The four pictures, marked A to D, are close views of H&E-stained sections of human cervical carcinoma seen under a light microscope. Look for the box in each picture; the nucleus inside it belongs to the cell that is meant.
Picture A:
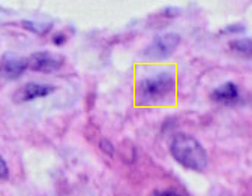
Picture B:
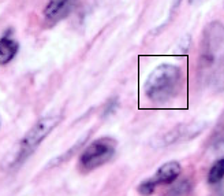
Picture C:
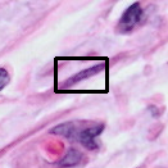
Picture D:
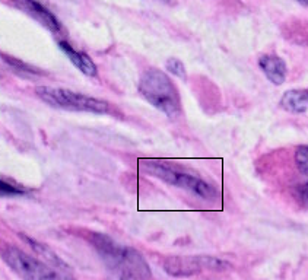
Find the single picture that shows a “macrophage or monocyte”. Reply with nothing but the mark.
B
